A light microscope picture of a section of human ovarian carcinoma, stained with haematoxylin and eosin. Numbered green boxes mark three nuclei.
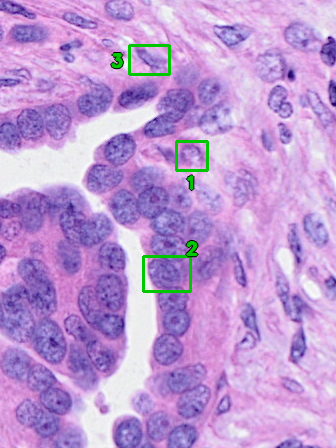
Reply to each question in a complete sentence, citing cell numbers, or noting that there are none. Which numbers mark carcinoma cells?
Just the cell marked 2 is a carcinoma cell; none of the other marked cells is.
